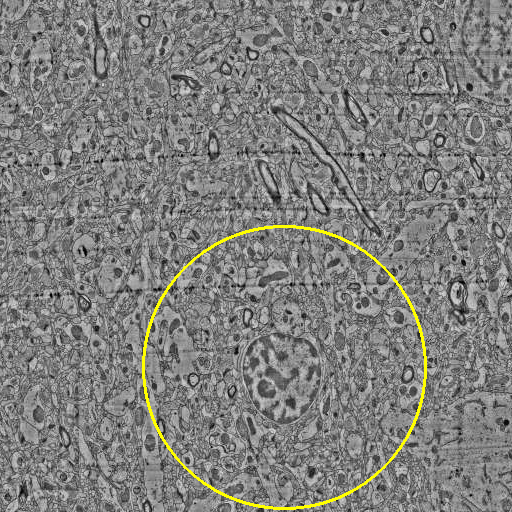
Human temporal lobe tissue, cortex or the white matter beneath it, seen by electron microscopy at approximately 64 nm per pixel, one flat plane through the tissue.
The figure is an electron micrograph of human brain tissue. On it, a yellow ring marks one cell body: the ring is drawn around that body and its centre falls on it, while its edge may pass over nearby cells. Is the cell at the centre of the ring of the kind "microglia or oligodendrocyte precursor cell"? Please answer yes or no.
yes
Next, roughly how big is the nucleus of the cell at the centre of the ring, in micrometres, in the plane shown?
In this plane the nucleus spans approximately 6 by 5 micrometers.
